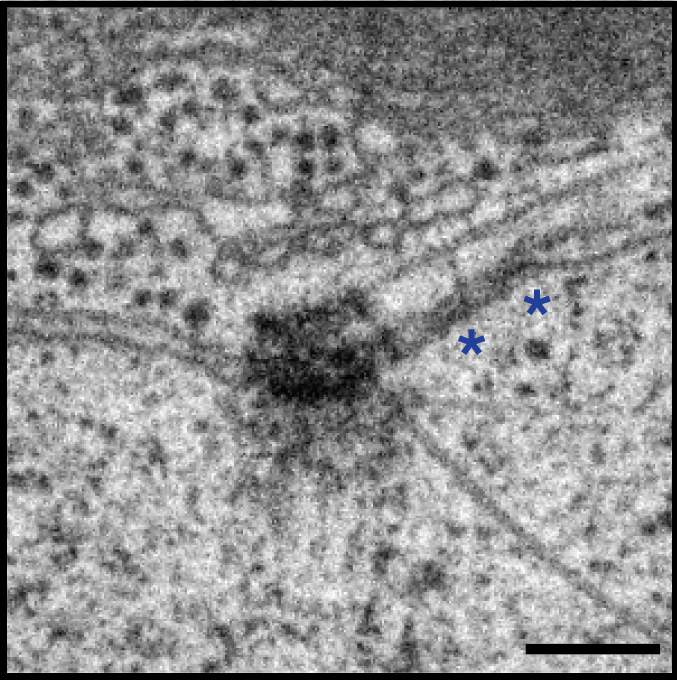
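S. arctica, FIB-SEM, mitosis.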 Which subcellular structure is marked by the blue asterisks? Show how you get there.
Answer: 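The asterisks lie next to the nuclear envelope to the right of the dense body. They mark spots along the membrane bordering the nucleus. That points to this answer: nuclear pore complexes.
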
